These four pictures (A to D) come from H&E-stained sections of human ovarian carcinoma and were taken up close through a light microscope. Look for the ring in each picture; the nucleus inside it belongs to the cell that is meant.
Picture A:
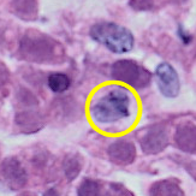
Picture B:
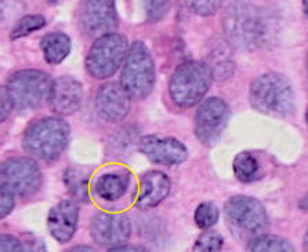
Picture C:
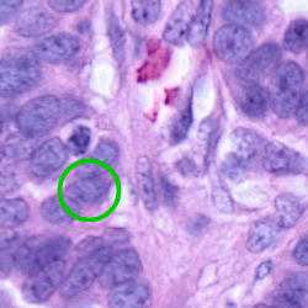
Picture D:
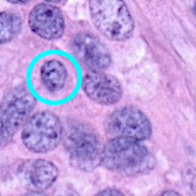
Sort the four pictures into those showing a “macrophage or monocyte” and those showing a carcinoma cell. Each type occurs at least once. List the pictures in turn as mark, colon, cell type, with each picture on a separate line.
A: macrophage or monocyte
B: macrophage or monocyte
C: carcinoma cell
D: macrophage or monocyte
